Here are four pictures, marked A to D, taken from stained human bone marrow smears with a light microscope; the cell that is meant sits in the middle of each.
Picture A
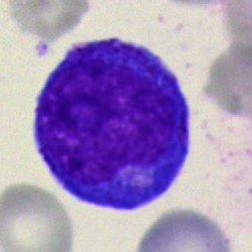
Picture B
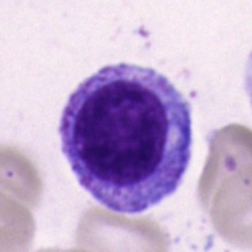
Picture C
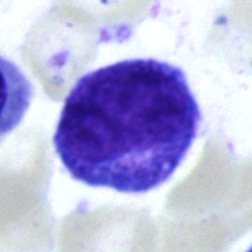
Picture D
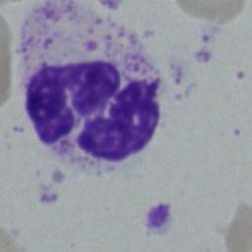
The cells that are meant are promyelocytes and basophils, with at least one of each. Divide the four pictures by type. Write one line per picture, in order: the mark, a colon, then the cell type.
A: promyelocyte
B: promyelocyte
C: promyelocyte
D: basophil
